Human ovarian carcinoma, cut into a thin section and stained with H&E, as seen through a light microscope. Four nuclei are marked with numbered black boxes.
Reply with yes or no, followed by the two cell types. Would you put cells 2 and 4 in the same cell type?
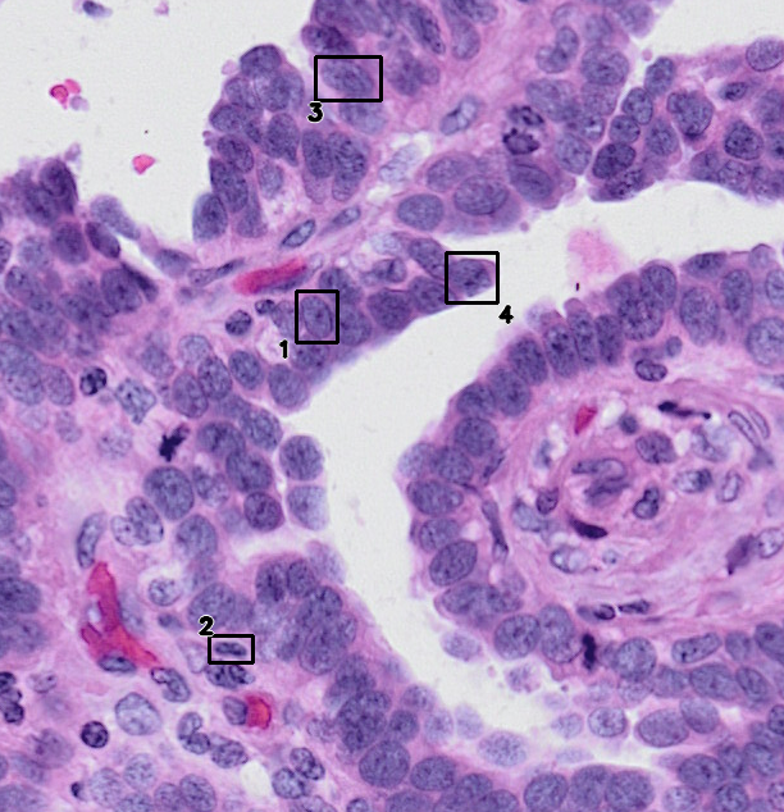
No, cell 2 is a lymphocyte and cell 4, for its part, is a carcinoma cell.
